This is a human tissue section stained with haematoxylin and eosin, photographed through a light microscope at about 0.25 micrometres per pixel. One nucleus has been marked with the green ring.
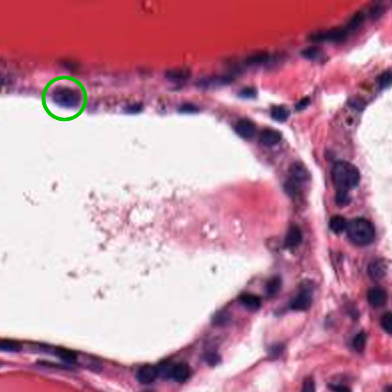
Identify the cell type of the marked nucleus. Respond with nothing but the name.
thyroid follicular cell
